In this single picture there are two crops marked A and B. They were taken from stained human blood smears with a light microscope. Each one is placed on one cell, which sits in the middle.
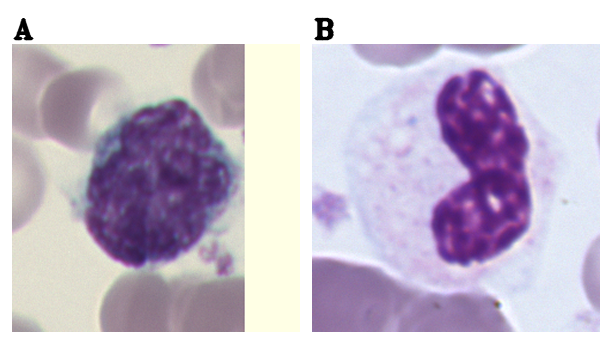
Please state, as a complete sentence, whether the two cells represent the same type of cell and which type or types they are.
No, the assignment should read crop A, a monocyte; crop B, a band neutrophil.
